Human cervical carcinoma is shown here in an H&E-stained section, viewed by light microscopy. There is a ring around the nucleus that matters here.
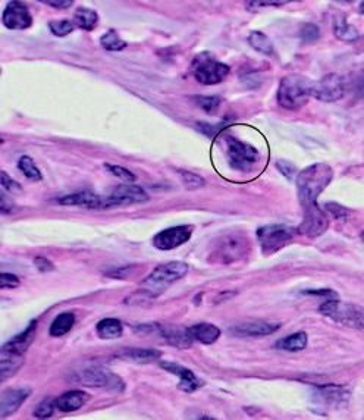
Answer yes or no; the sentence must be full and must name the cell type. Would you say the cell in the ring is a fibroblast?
No, the cell in the ring does not represent a fibroblast; it represents a lymphocyte.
